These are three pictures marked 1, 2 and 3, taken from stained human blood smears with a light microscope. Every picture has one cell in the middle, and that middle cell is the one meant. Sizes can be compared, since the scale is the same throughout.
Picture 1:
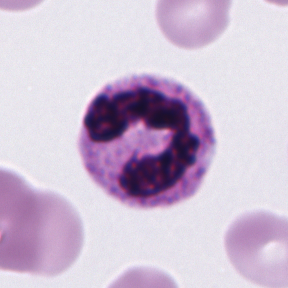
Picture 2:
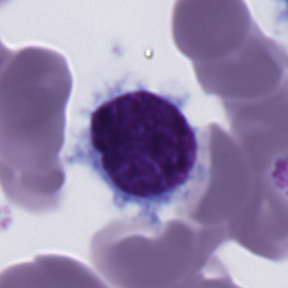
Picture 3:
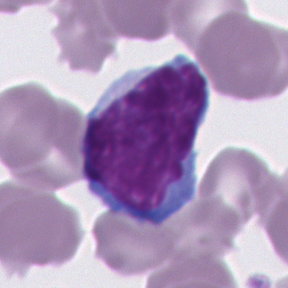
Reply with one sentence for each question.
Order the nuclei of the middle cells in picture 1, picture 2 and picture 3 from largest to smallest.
From the largest down, the order is 3, 2, 1.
